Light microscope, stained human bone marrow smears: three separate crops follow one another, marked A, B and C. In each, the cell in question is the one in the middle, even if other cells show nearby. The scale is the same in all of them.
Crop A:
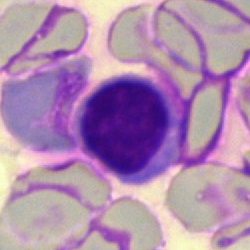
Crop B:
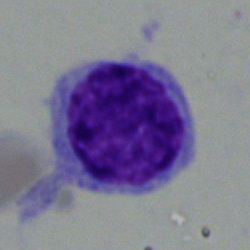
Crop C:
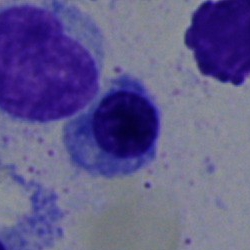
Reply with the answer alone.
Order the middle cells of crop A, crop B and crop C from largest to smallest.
B, A, C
